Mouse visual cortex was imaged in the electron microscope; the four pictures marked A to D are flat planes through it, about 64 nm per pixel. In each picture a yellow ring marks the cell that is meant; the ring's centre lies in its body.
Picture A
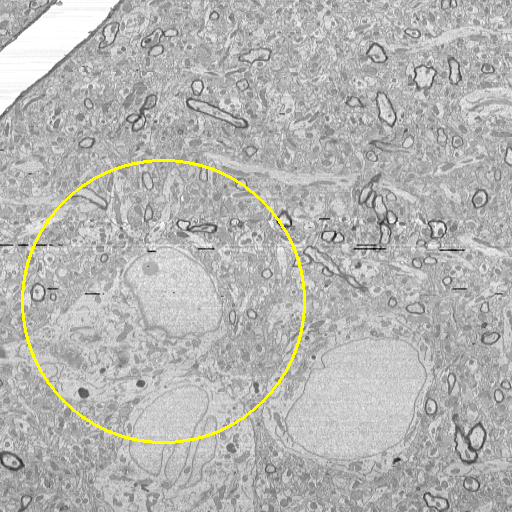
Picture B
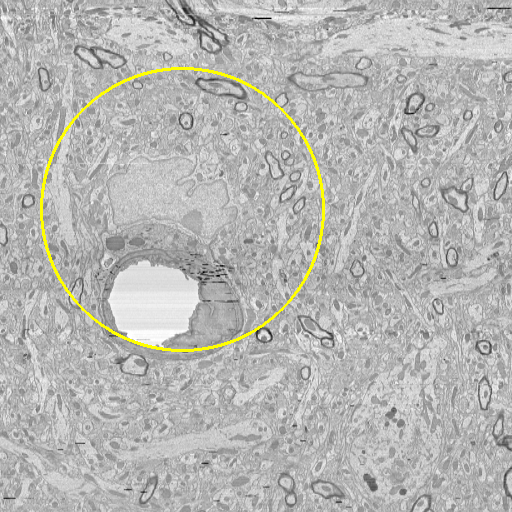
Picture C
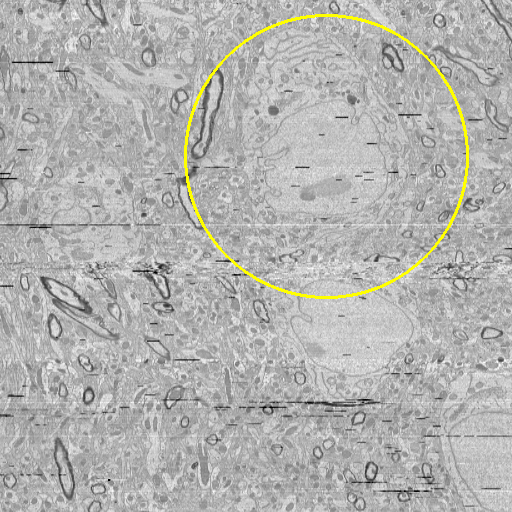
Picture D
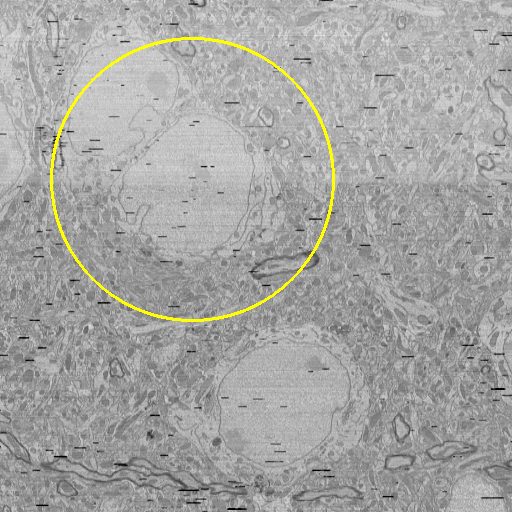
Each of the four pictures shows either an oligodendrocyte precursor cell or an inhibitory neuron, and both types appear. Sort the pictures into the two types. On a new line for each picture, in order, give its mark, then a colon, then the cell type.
A: oligodendrocyte precursor cell
B: oligodendrocyte precursor cell
C: inhibitory neuron
D: inhibitory neuron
